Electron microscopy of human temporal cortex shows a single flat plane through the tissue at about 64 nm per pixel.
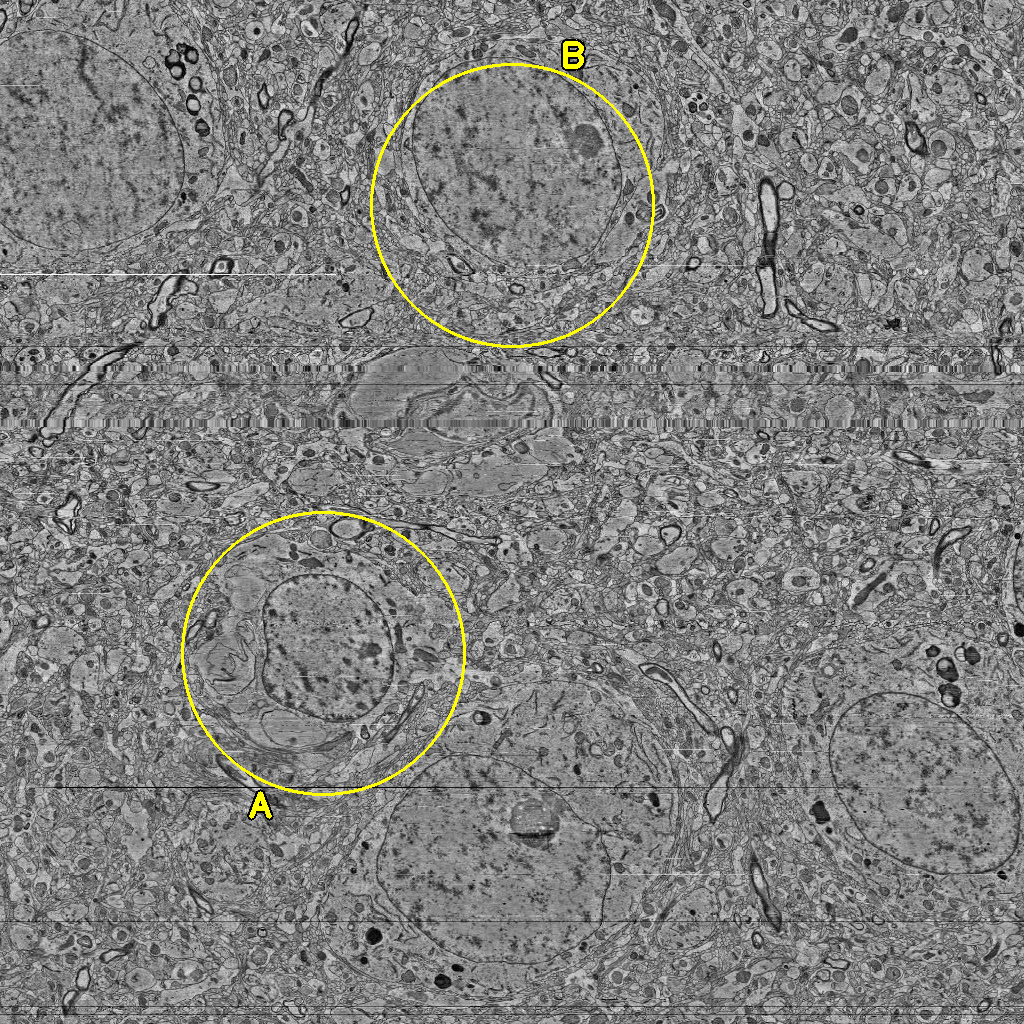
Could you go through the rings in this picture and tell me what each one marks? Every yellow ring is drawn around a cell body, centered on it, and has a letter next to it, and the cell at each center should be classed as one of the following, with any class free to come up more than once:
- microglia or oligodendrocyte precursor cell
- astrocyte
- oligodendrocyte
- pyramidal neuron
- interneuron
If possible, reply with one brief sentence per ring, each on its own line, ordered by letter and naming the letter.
The cell centered in ring A is an astrocyte.
The cell centered in ring B is a pyramidal neuron.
